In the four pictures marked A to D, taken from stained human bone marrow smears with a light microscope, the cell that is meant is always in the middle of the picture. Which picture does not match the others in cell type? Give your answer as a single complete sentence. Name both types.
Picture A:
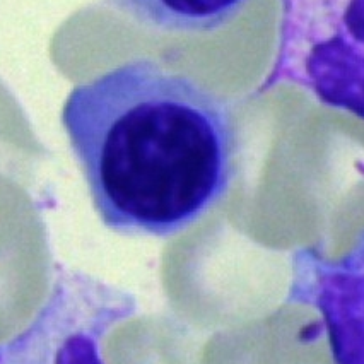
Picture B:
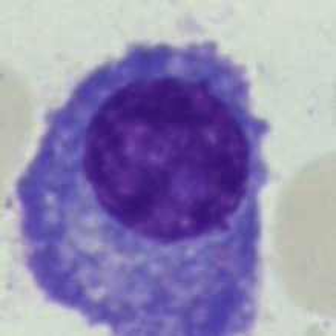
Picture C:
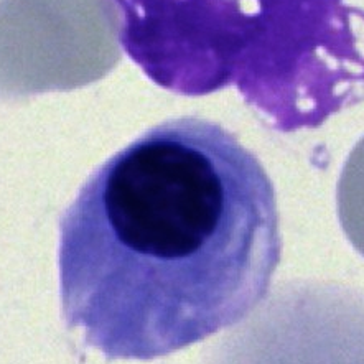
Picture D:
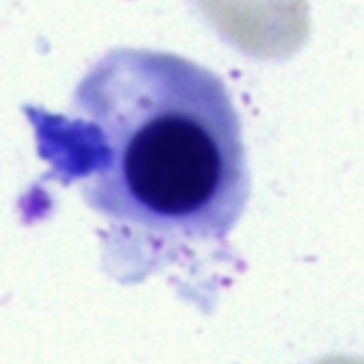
All pictures except B show erythroblasts; picture B shows a plasma cell.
